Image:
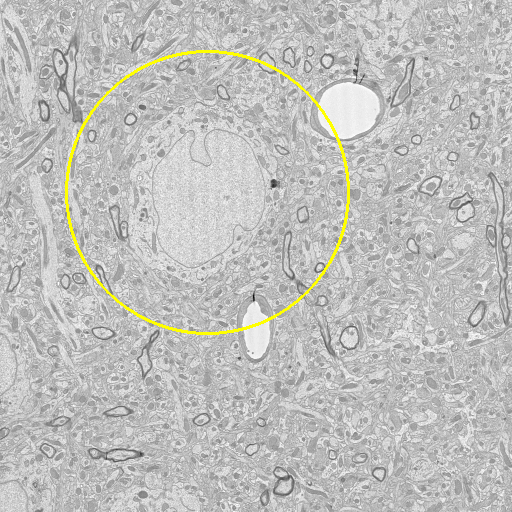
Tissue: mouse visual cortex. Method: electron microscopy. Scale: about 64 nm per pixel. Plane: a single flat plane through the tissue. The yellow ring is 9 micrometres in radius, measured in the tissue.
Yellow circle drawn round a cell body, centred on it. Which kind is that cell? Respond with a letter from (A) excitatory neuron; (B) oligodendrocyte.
A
